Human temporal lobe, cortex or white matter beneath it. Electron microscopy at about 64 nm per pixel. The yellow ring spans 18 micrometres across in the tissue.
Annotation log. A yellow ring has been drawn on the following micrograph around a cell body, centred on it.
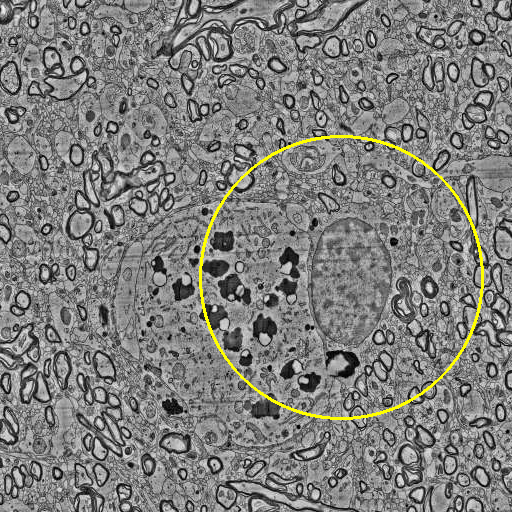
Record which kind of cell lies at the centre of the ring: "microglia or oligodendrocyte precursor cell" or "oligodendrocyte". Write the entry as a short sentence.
The cell the ring is centred on is an oligodendrocyte.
